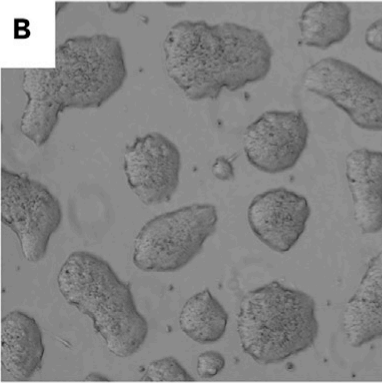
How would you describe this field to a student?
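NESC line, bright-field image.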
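The colonies are rounded or oval, some elongated, with smooth, sharply defined edges and no spiky protrusions. Each appears compact and slightly raised, with a finely granular surface in which individual cells are barely made out. Colonies vary in size, from small round clusters to larger kidney-shaped ones, and lie separated by clear, empty spaces of the dish.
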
